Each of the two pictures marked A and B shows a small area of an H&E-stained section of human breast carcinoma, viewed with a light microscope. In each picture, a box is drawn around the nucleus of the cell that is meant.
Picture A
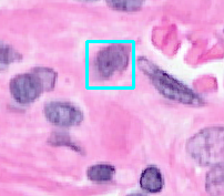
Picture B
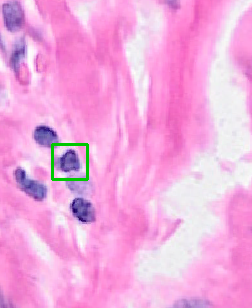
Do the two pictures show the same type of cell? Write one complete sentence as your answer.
No, picture A shows an endothelial cell and picture B shows a lymphocyte.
